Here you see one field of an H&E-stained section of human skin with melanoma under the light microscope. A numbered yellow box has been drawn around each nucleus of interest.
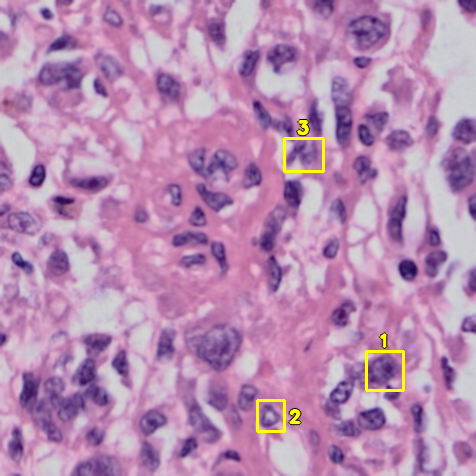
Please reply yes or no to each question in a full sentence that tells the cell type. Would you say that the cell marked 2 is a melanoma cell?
No, the cell with the number 2 is an endothelial cell, not a melanoma cell.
